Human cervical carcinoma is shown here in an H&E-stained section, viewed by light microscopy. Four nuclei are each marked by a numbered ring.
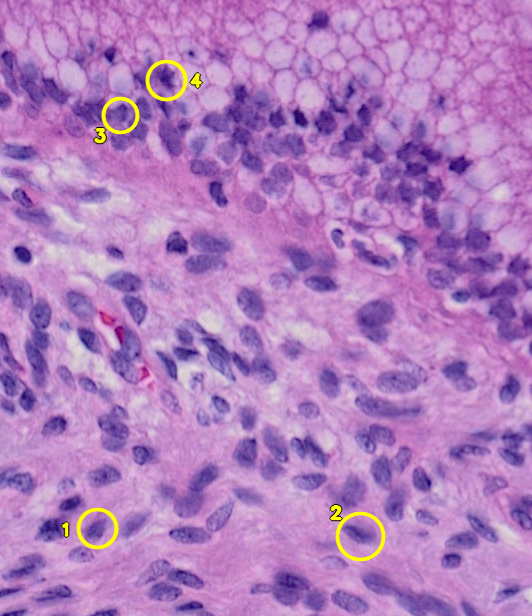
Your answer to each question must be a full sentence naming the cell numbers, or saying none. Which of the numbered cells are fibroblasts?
The cells referred to by numbers 1 and 2 are fibroblasts.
